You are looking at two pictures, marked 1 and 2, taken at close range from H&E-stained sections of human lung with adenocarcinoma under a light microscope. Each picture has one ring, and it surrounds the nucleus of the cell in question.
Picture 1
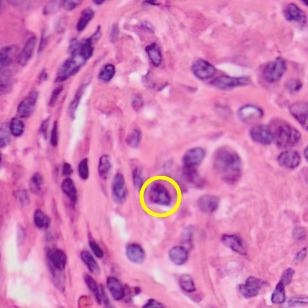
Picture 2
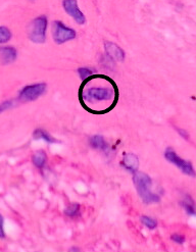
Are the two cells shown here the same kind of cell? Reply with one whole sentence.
No; the cell in picture 1 is a plasma cell, while the one in picture 2 is a mast cell.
